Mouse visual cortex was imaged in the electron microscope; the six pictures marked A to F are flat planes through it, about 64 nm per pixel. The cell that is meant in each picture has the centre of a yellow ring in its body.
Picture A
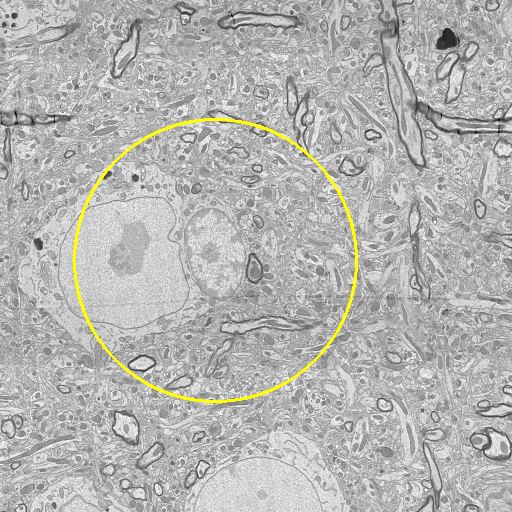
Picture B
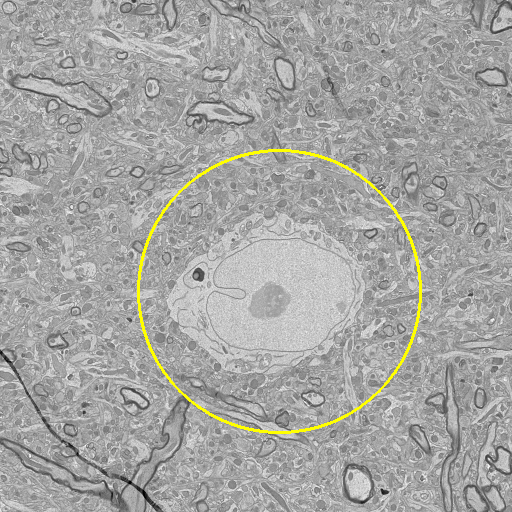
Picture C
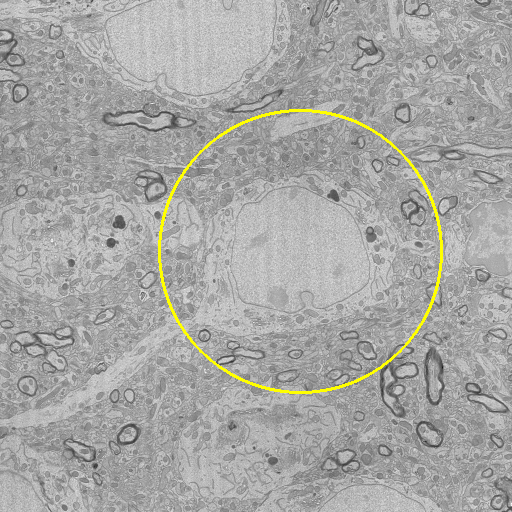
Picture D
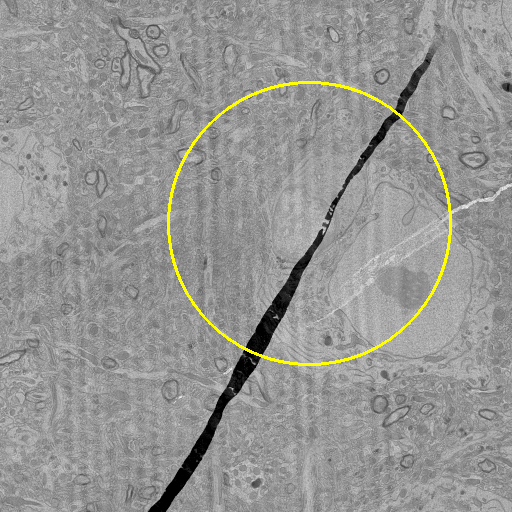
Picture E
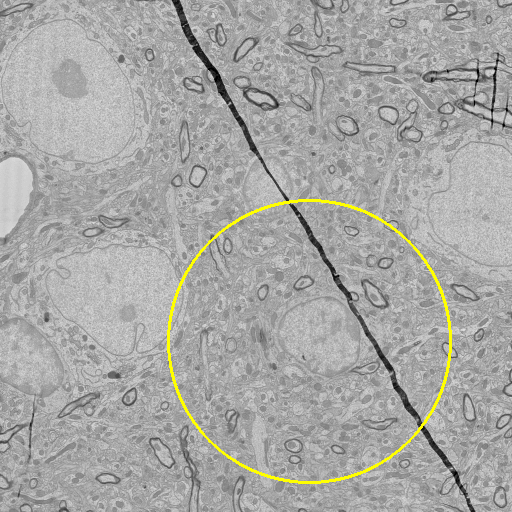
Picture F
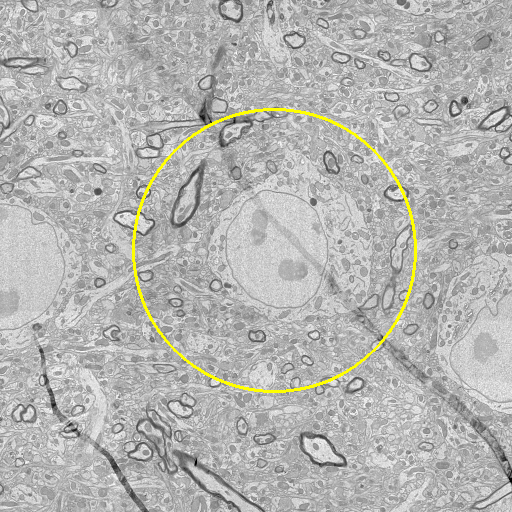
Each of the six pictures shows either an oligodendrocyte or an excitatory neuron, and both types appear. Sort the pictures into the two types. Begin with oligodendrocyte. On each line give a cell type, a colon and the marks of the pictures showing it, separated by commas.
oligodendrocyte: A, D, E
excitatory neuron: B, C, F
